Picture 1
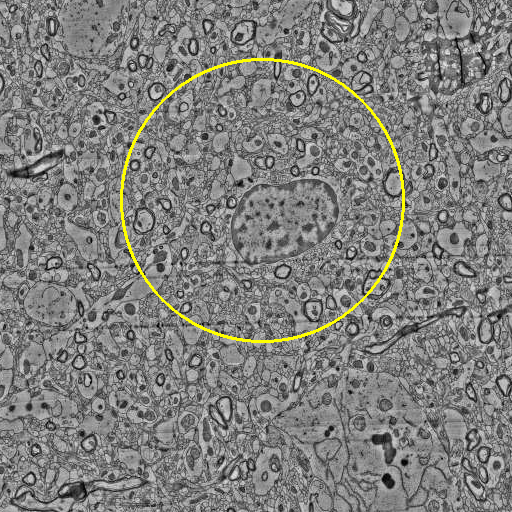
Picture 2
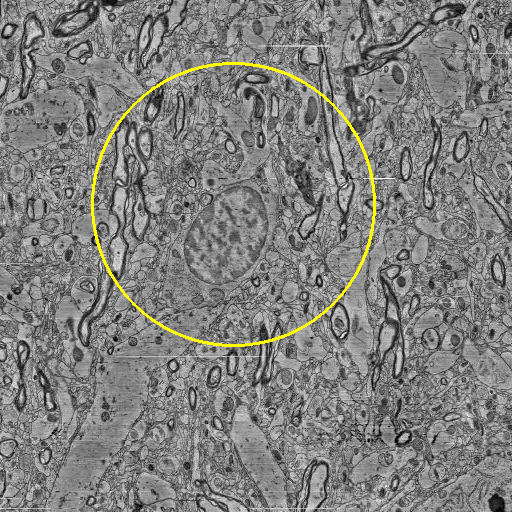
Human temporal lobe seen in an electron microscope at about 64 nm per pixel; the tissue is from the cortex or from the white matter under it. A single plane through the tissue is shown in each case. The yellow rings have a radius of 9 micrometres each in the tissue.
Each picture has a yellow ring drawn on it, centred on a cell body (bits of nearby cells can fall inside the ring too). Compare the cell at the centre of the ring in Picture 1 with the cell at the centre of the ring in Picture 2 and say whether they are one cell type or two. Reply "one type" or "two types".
two types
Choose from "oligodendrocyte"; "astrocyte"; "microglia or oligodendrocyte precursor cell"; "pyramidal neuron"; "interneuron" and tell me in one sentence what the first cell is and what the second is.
What the first ring is centred on is a microglial cell or oligodendrocyte precursor cell; what the second ring is centred on is an oligodendrocyte.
